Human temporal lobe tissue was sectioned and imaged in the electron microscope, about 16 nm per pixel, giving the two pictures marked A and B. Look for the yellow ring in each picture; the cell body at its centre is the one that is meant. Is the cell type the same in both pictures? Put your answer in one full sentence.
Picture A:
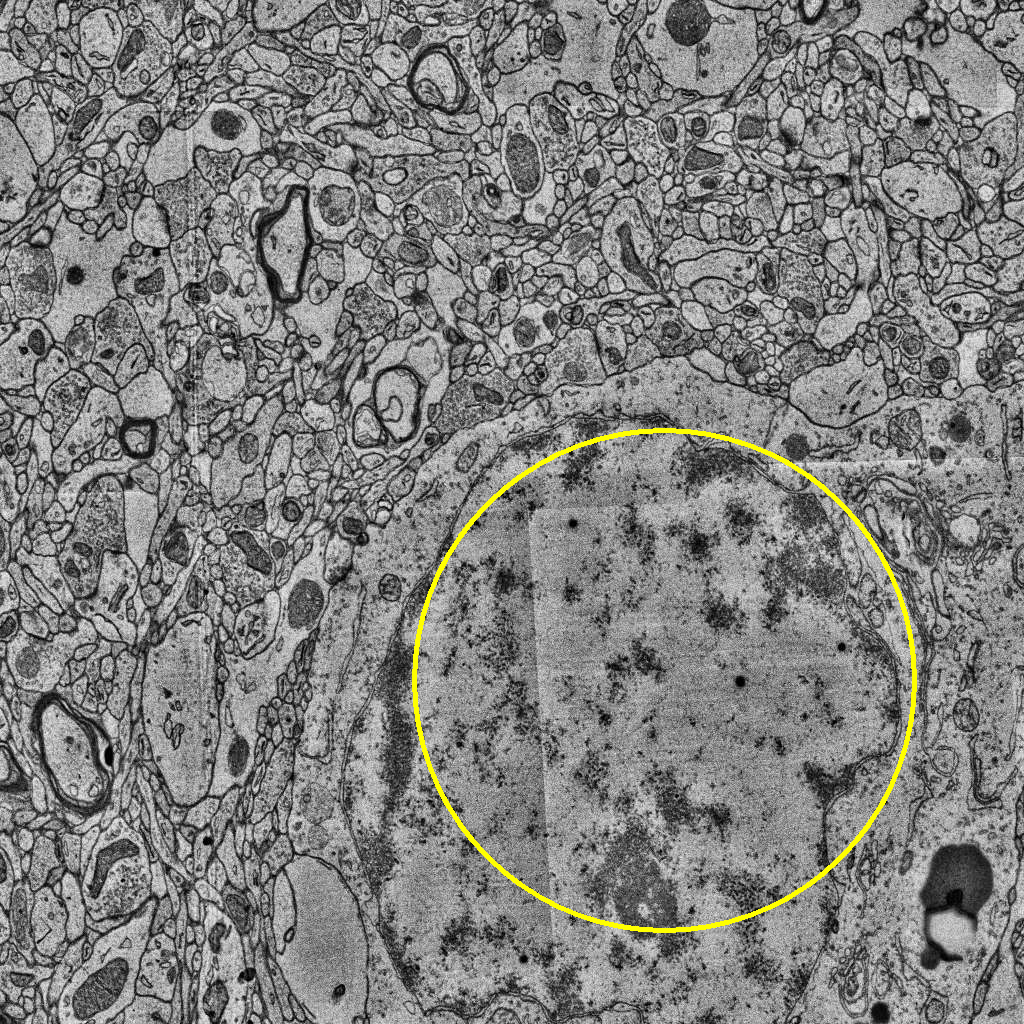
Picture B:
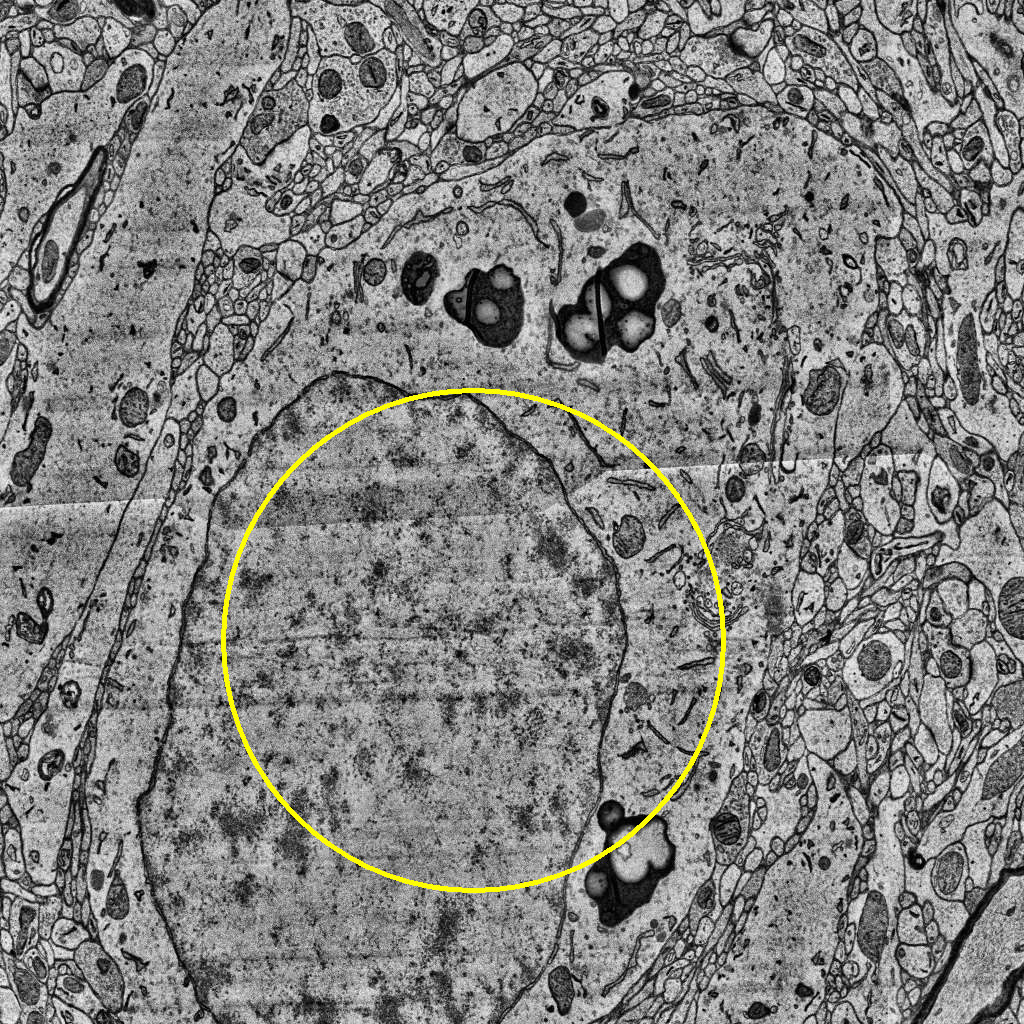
No; the cell in picture A is an interneuron, while the one in picture B is a pyramidal neuron.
